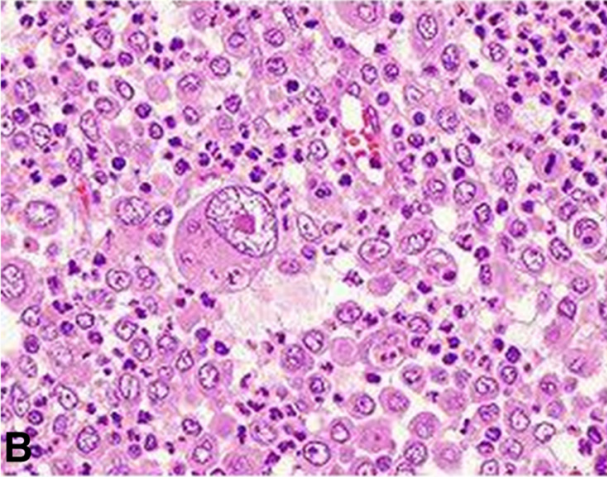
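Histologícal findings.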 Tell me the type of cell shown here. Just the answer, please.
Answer: Neoplastic cells that look like a histiocyte.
